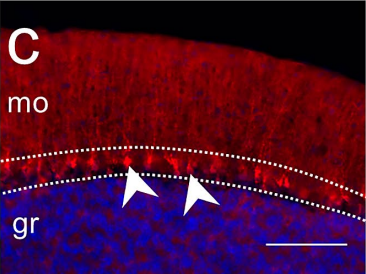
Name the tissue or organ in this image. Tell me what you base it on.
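A cell-sparse outer layer with radial striations overlies a densely packed layer of small blue nuclei. A single row of cell bodies separates the two layers.
Hence: cerebellum.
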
